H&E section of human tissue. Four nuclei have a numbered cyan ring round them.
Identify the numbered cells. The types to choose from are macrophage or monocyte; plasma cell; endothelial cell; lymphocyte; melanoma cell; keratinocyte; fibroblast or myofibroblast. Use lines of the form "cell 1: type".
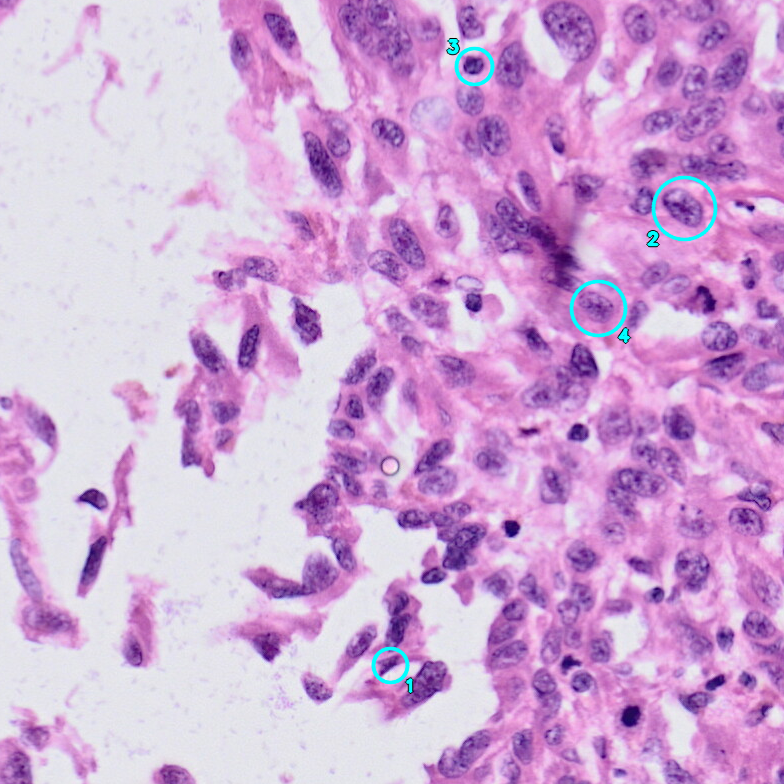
cell 1: melanoma cell
cell 2: melanoma cell
cell 3: lymphocyte
cell 4: melanoma cell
